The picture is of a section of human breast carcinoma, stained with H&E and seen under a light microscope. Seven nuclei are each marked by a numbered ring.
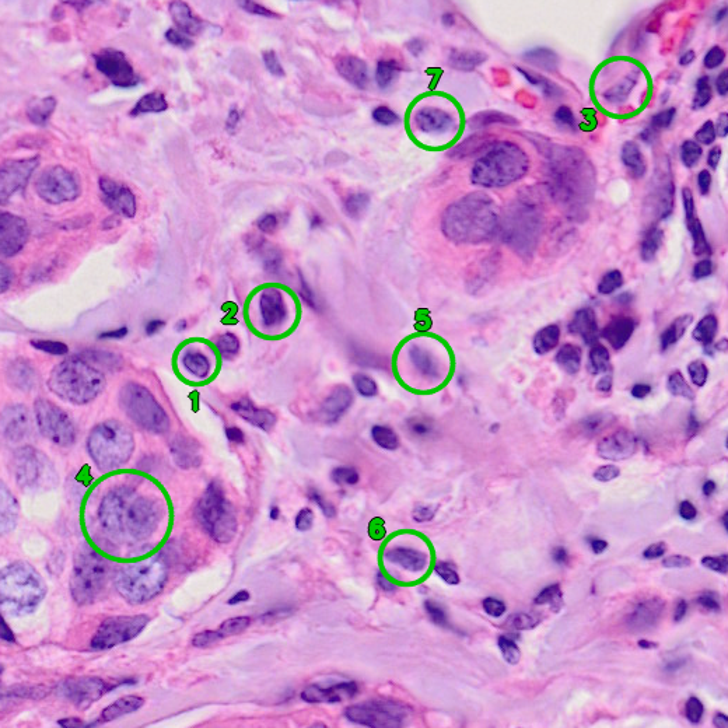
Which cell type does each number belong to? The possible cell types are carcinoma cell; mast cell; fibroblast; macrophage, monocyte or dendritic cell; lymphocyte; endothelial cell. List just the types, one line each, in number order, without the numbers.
lymphocyte
lymphocyte
endothelial cell
carcinoma cell
mast cell
lymphocyte
mast cell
